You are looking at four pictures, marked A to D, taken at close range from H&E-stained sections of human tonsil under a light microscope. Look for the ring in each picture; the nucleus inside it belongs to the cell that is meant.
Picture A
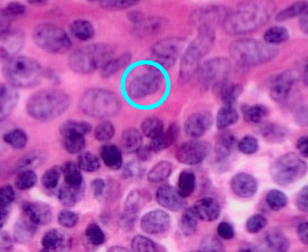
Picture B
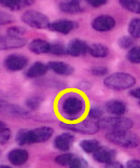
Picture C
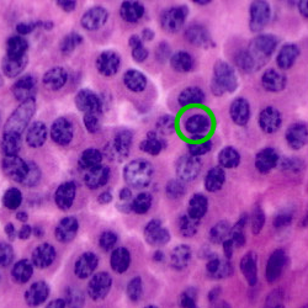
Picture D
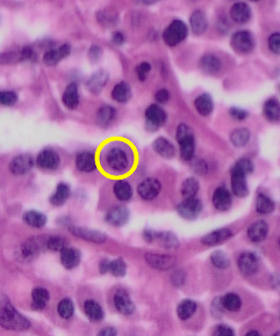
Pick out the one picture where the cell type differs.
A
